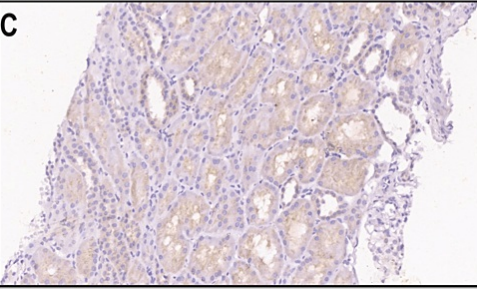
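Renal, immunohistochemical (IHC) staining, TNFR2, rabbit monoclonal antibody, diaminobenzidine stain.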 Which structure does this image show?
proximal and distal convoluted tubules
